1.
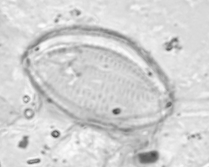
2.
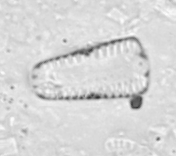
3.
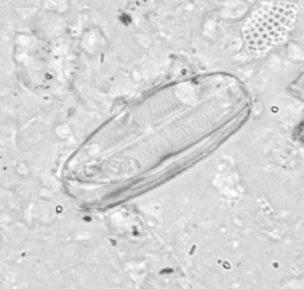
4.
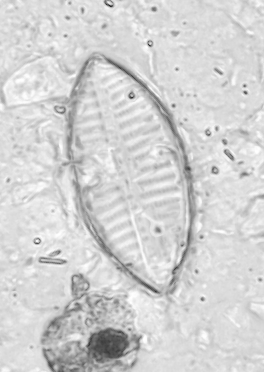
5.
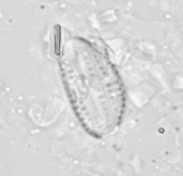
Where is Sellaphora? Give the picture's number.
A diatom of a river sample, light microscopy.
3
